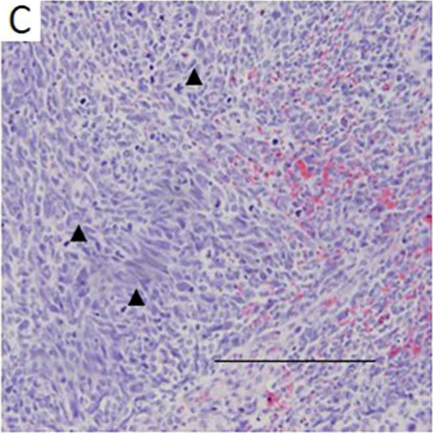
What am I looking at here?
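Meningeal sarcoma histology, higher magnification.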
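A crowded sheet of spindle-shaped neoplastic cells with elongated, oval to fusiform purple nuclei and scant pale cytoplasm, arranged in irregular streams. Several small, dark, condensed chromatin bodies representing mitotic figures are scattered among the cells. Red blood cells are dispersed between the tumor cells, most densely toward the right.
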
